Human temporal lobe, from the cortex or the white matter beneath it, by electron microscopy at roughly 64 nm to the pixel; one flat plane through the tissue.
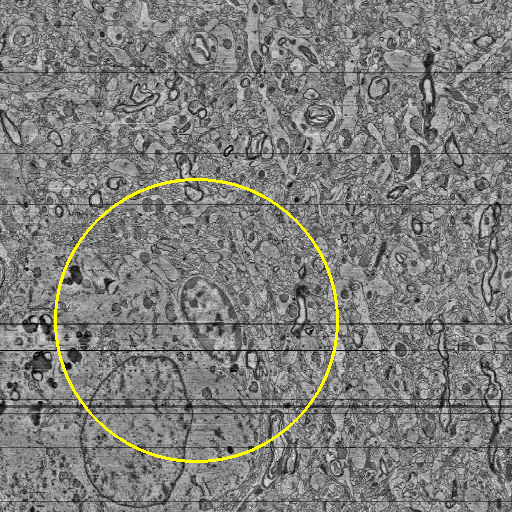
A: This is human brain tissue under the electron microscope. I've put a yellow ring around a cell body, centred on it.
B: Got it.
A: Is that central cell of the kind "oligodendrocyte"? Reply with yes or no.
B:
no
